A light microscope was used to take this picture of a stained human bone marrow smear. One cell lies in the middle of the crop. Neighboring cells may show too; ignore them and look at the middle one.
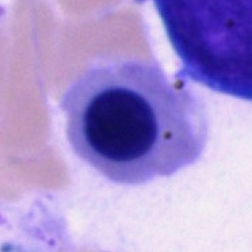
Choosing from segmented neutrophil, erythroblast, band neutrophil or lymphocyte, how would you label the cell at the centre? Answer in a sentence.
The middle of this crop holds an erythroblast.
